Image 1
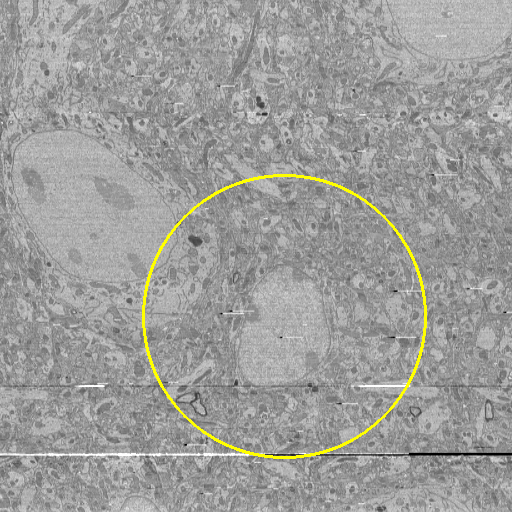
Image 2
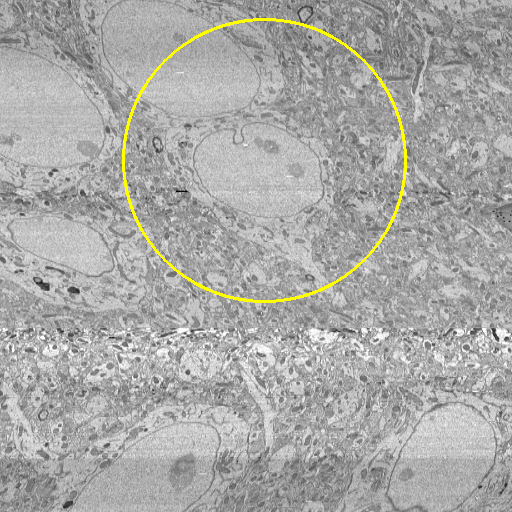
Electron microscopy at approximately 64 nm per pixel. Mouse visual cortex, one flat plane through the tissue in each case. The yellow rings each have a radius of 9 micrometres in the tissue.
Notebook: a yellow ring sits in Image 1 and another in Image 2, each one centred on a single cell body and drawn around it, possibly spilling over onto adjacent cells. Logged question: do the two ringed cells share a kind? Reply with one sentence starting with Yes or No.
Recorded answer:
No, the centre cells inside the rings of Image 1 and Image 2 are of two kinds.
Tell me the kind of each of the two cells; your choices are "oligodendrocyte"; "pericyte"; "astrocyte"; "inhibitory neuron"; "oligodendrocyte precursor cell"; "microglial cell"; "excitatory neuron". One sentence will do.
The ringed cell is an astrocyte in the first picture and an excitatory neuron in the second picture.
